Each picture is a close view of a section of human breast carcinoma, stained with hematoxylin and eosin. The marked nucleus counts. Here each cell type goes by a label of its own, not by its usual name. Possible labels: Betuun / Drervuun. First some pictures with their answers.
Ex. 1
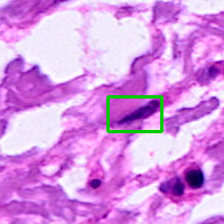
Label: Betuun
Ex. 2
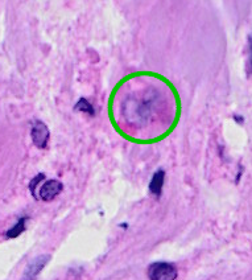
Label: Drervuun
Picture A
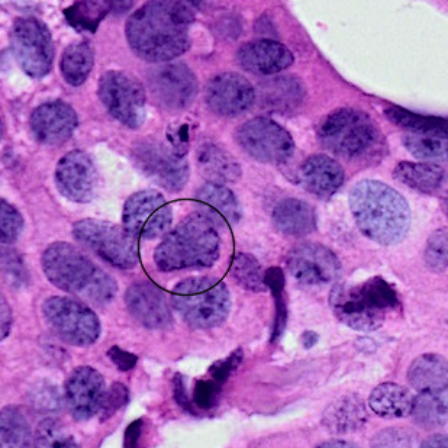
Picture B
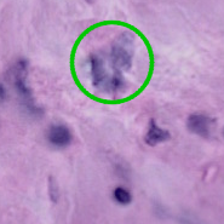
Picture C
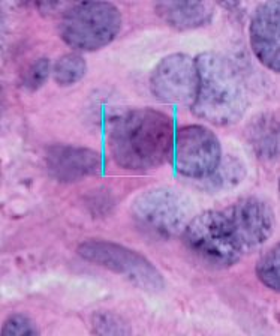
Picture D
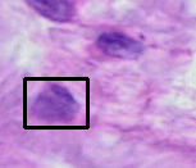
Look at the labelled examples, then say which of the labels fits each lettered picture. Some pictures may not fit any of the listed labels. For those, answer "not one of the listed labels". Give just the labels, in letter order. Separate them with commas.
not one of the listed labels, Betuun, not one of the listed labels, Betuun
